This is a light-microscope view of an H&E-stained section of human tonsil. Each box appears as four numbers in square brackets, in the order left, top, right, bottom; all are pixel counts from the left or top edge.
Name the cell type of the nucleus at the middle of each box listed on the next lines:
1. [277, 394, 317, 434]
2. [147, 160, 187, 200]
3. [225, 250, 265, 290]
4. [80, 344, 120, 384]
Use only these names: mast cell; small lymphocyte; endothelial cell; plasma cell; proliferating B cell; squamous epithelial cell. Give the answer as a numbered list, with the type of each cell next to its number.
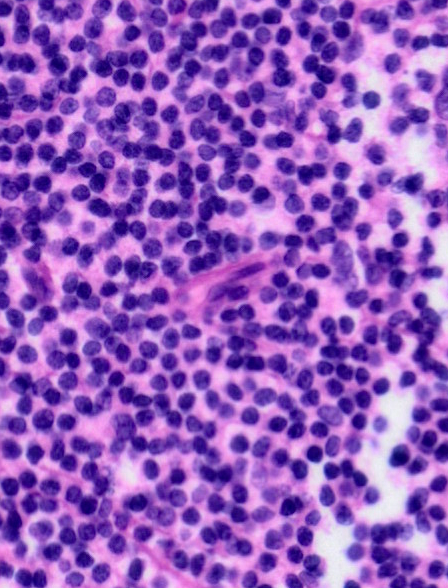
1. small lymphocyte
2. small lymphocyte
3. endothelial cell
4. small lymphocyte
